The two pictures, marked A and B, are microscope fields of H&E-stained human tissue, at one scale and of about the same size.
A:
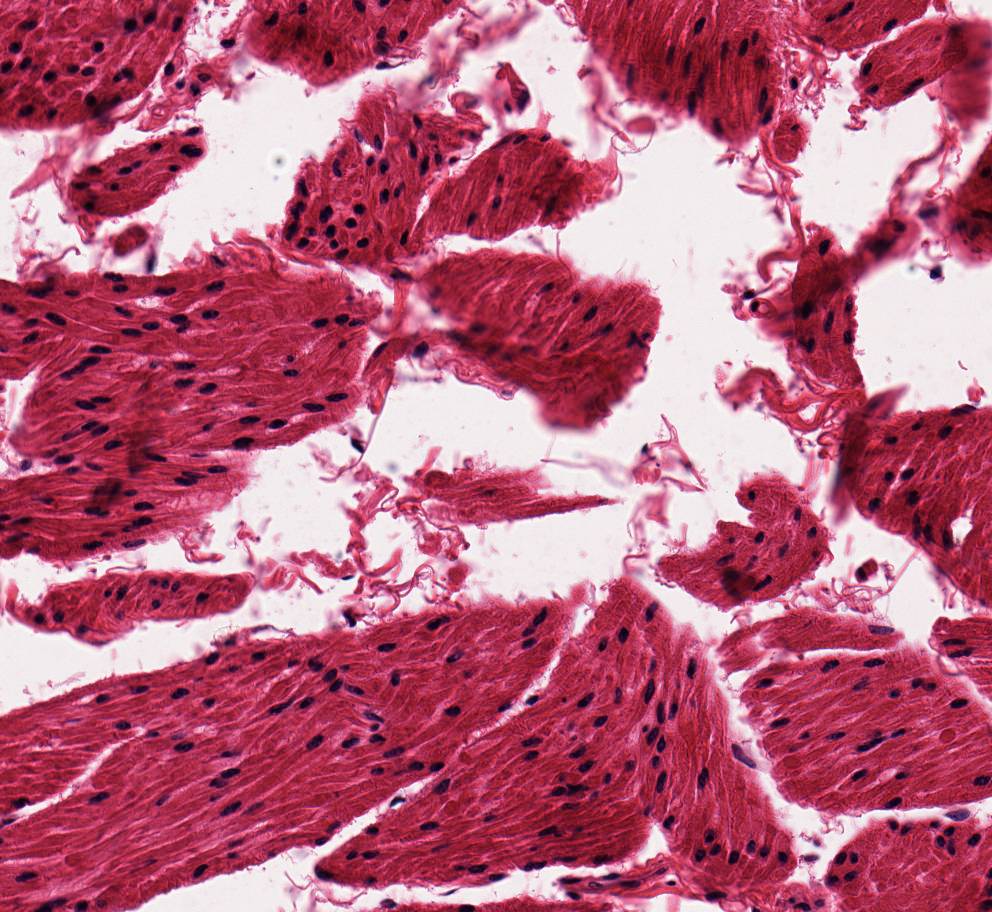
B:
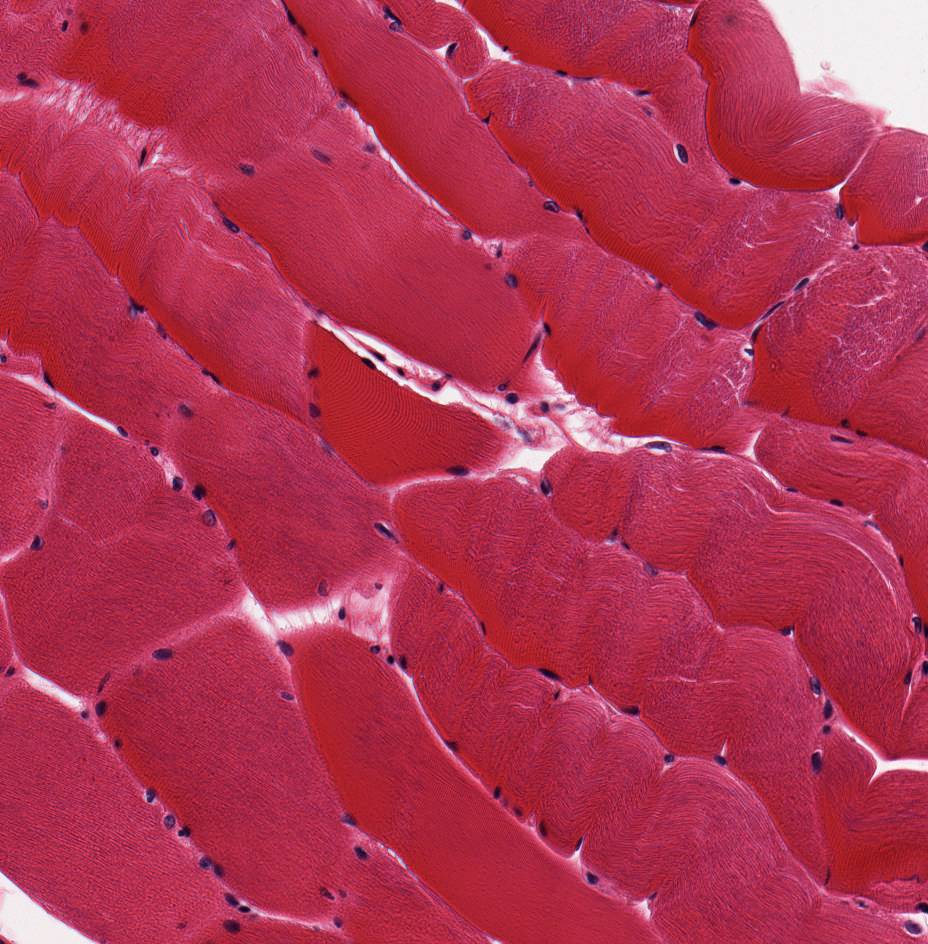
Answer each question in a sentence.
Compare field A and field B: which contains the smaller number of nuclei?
It is field B that has fewer nuclei in it.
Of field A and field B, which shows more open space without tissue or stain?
Field A has more white space.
